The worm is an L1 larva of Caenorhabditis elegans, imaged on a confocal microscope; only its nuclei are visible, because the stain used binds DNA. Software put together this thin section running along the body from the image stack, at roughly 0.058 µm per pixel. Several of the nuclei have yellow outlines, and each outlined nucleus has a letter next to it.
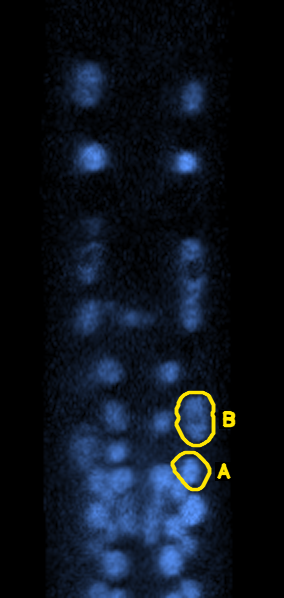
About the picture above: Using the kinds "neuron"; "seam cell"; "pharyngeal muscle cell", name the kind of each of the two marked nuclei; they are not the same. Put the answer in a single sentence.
The nucleus A is that of a neuron, while B is that of a seam cell.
